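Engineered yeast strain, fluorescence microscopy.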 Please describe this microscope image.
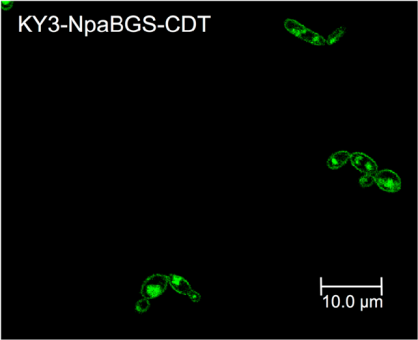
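Small groups of oval yeast cells, several of them budding, lie in a dark field. Green fluorescence outlines the edge of each cell at the cell membrane, with additional patchy green spots inside the cells.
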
